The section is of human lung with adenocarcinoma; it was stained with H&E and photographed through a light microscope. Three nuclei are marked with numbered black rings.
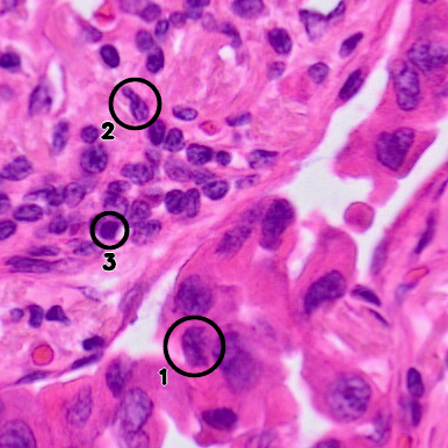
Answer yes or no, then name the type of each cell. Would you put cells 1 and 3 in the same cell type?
No, cell 1 is a carcinoma cell and cell 3 is a lymphocyte.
